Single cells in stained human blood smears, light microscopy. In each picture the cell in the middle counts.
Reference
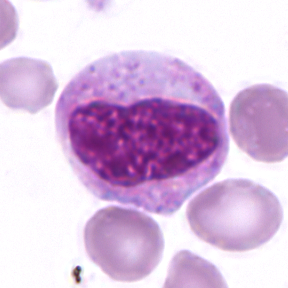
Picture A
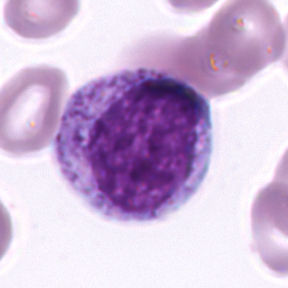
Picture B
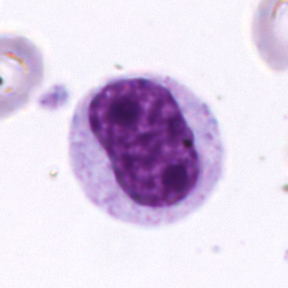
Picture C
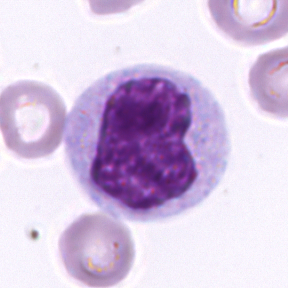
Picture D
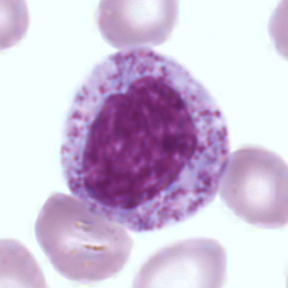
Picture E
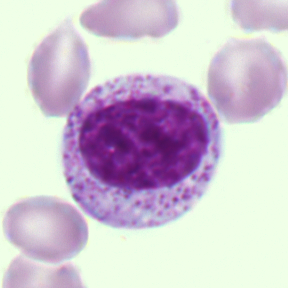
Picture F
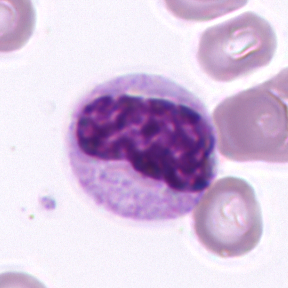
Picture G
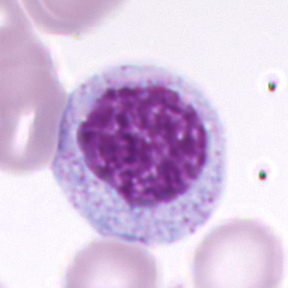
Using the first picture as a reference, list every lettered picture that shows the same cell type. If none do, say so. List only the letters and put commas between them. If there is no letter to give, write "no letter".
B, C, E, F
